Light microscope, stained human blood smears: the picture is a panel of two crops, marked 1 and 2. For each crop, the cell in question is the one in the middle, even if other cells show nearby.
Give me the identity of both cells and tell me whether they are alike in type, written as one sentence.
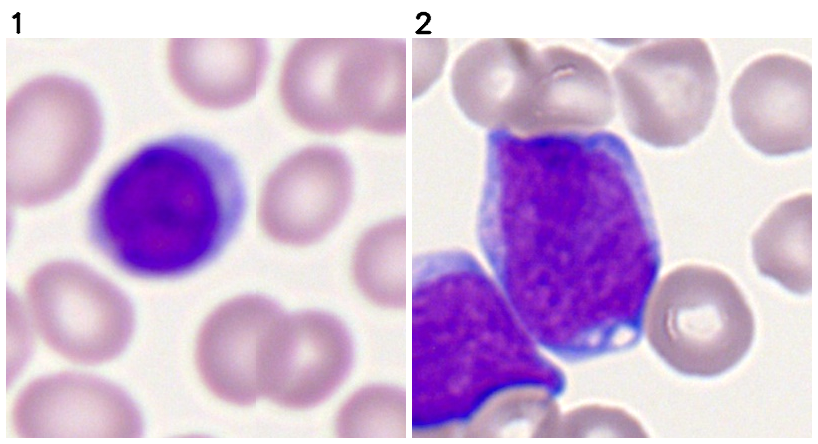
No, the cell that crop 1 shows is a lymphocyte, and the one crop 2 shows is a blast.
